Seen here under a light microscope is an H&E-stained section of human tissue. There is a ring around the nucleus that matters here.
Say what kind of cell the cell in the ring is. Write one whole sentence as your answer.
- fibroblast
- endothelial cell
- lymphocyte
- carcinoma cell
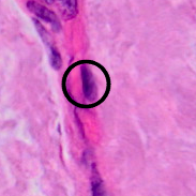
So far as cell type goes, the cell in the ring is an endothelial cell.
